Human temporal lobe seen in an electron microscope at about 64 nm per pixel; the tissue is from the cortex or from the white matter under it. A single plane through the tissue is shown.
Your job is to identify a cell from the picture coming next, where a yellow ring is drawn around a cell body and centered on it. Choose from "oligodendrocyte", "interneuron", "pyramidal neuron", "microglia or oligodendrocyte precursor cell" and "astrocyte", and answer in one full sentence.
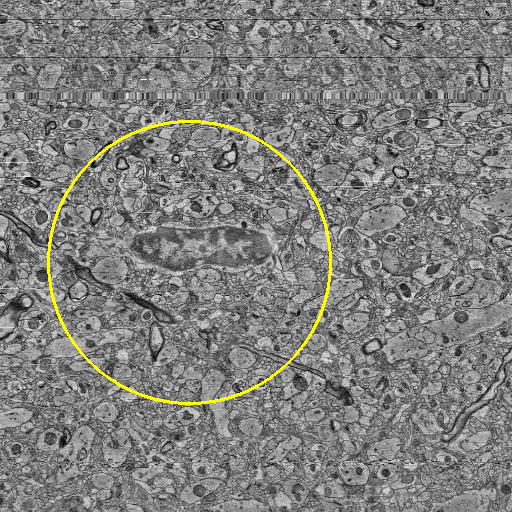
Centered in the yellow ring of the picture is the body of a microglial cell or oligodendrocyte precursor cell.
